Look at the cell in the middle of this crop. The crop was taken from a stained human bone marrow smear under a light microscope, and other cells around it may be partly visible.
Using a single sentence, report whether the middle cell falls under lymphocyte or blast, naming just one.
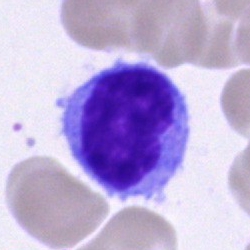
The cell of interest, located centrally, is a lymphocyte.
